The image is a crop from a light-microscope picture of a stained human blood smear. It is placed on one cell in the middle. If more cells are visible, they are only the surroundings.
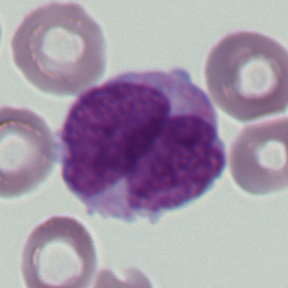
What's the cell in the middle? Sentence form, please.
The central element of this crop is a cell, namely an atypical promyelocyte.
